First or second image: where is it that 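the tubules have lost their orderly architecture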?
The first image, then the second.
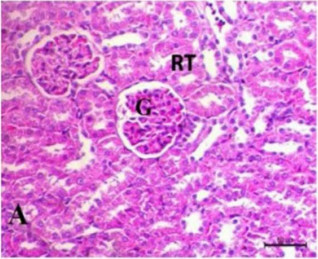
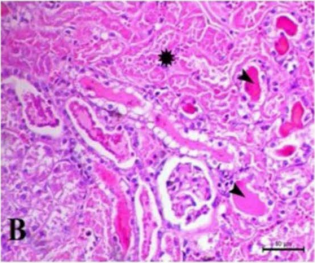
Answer: The second image.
